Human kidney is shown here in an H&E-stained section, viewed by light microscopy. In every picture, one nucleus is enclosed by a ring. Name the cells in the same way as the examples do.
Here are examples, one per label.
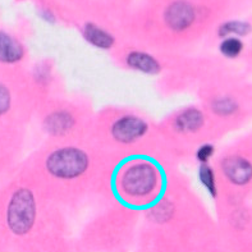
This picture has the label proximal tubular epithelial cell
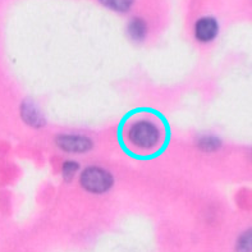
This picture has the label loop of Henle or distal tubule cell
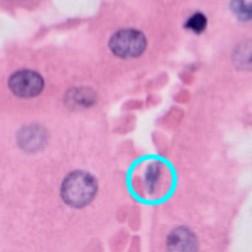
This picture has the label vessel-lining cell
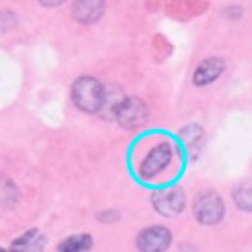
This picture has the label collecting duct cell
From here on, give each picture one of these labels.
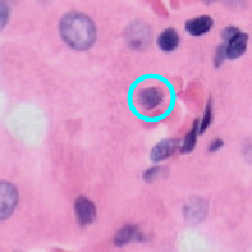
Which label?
vessel-lining cell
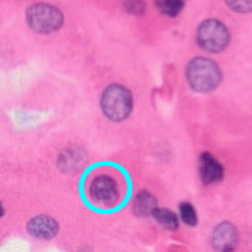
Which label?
proximal tubular epithelial cell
